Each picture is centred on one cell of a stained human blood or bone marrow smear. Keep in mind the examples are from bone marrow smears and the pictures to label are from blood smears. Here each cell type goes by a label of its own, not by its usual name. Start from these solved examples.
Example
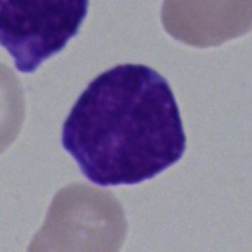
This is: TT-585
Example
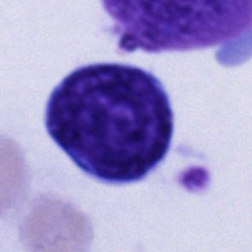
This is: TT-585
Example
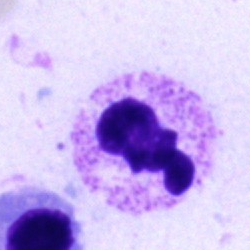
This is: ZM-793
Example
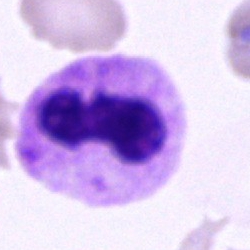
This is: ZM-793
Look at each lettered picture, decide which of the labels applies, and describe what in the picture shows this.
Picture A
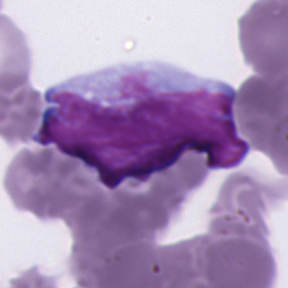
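TT-585. Reason: The nucleus fills most of the cell as a broad band across its lower part.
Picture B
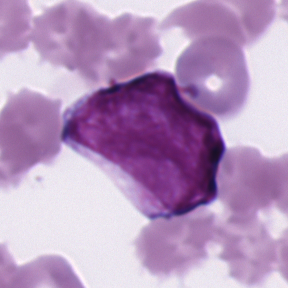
TT-585. Reason: The cytoplasm is a thin pale lilac-grey crescent lying mainly along the lower-left side of the cell.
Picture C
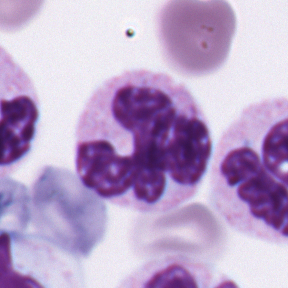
ZM-793. Reason: The cytoplasm is pale pink.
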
